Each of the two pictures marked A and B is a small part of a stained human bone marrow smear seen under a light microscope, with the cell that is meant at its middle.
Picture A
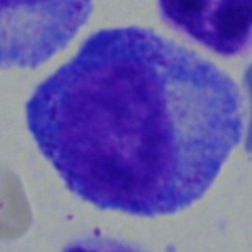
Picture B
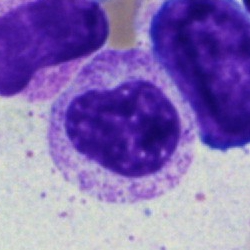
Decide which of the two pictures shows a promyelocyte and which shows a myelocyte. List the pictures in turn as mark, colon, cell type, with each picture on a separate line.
A: promyelocyte
B: myelocyte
